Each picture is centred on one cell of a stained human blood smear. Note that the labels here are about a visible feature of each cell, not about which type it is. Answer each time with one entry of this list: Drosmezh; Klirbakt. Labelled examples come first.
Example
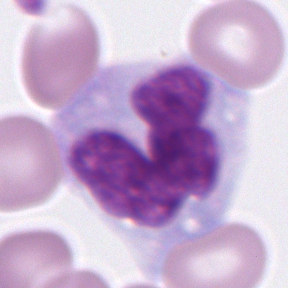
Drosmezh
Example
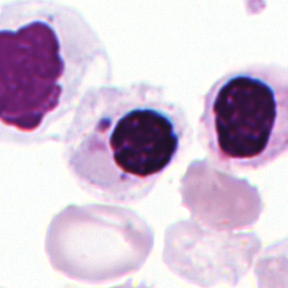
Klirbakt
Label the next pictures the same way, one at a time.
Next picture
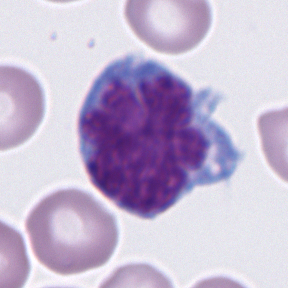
Drosmezh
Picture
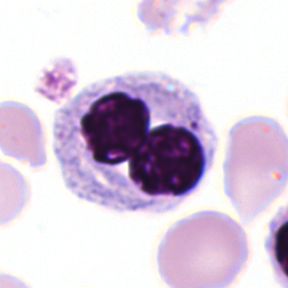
Drosmezh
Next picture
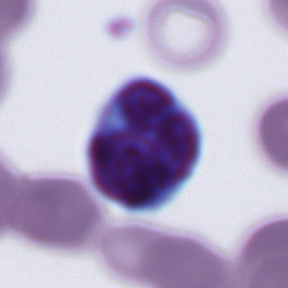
Drosmezh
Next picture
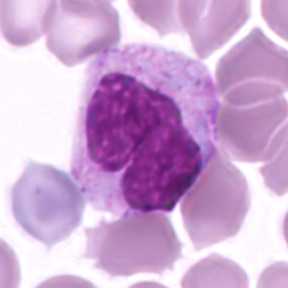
Drosmezh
